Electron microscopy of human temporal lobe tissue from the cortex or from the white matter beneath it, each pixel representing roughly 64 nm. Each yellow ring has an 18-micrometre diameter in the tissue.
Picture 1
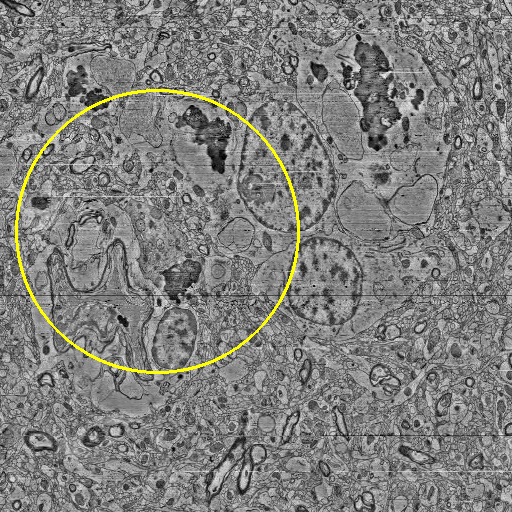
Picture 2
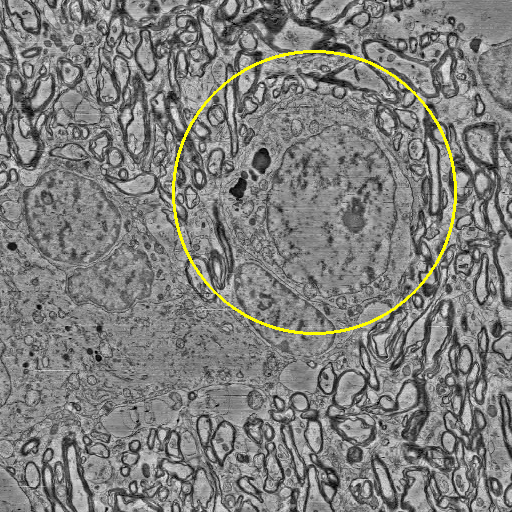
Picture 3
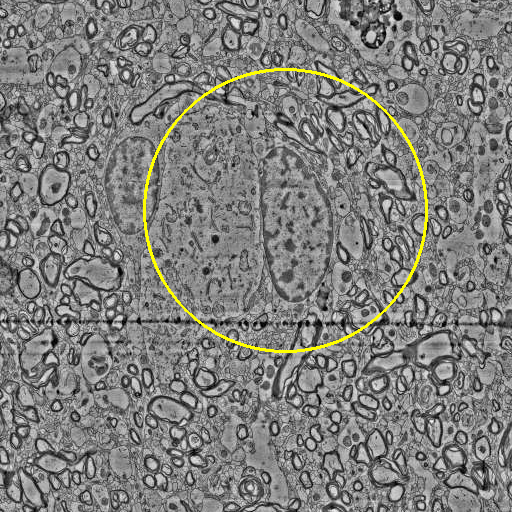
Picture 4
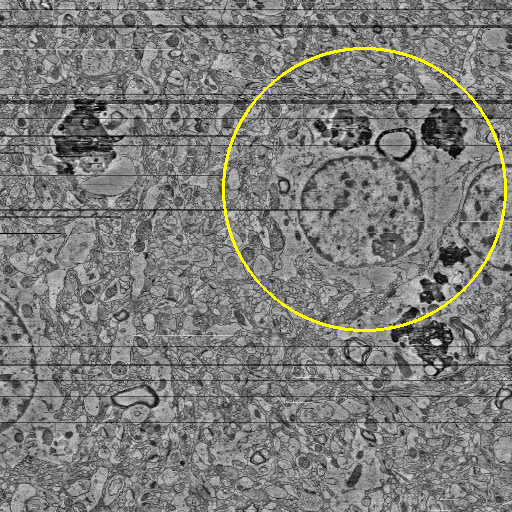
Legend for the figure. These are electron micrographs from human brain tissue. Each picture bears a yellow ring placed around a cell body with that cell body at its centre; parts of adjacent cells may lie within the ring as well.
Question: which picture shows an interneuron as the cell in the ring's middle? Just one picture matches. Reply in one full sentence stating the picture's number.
It is picture 2 whose yellow ring is centred on the requested cell.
